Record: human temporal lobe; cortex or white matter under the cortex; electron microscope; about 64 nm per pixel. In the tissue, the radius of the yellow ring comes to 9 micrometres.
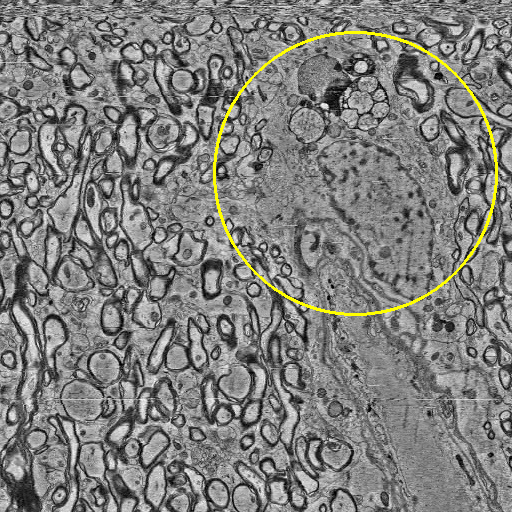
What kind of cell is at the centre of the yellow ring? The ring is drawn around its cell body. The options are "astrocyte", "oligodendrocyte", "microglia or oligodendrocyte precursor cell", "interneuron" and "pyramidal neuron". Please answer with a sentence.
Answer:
The yellow ring marks the cell body of an astrocyte.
